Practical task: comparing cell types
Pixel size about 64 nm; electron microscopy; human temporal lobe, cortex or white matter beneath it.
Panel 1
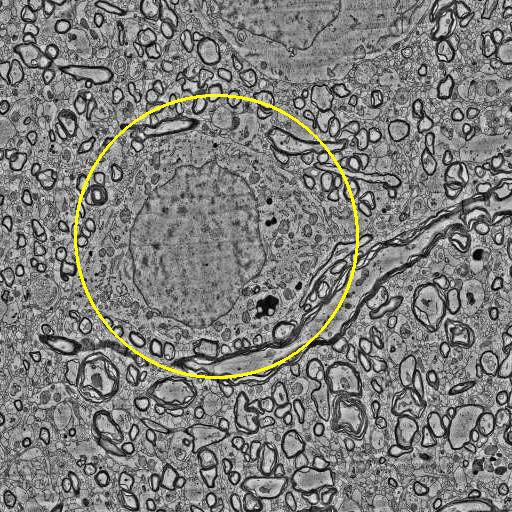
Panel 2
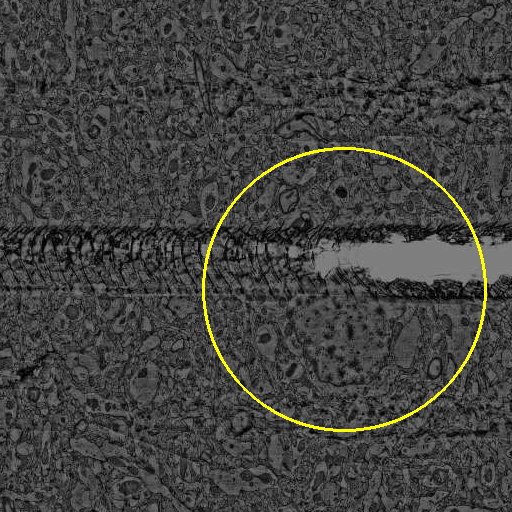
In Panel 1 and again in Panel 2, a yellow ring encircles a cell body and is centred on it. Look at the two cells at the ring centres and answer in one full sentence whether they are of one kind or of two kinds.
The two cells sitting at the ring centres of Panels 1 and 2 are of one kind.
